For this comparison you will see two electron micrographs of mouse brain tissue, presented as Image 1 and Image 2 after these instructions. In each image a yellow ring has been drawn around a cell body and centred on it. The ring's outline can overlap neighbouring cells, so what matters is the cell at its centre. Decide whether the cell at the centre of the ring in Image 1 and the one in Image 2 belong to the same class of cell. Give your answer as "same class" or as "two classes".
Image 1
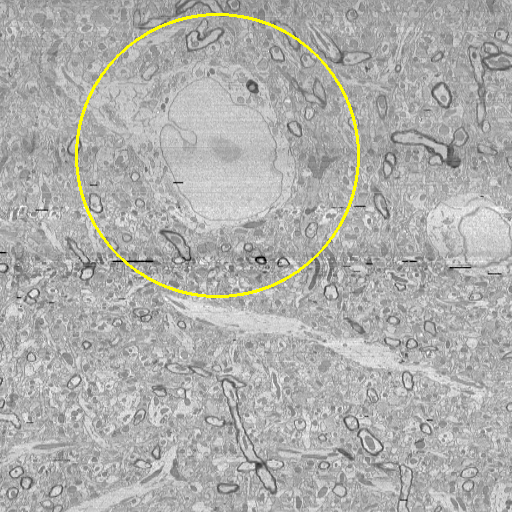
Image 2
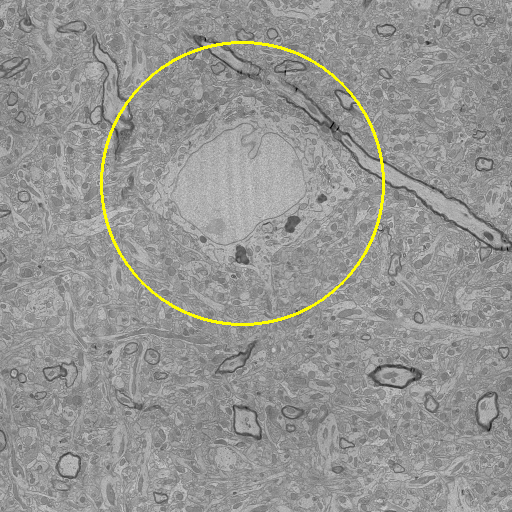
same class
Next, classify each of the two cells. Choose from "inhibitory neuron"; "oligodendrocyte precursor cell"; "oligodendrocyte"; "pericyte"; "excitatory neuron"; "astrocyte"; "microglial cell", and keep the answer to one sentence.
Each cell, in the first picture and the second, is an excitatory neuron.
